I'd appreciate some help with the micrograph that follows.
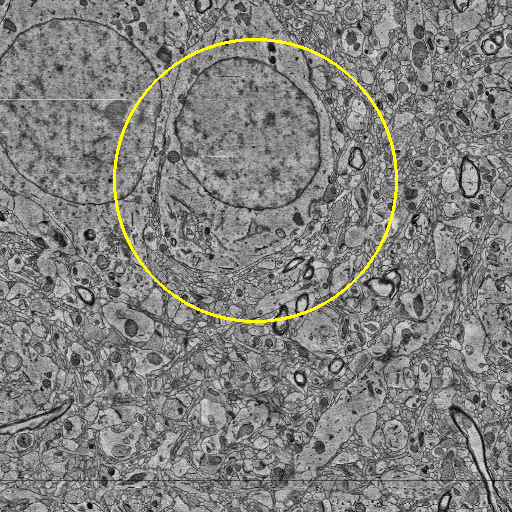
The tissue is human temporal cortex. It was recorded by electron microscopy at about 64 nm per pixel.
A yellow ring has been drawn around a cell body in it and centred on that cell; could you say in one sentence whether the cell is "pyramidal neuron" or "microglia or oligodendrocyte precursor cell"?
It is a pyramidal neuron at the centre of the ring.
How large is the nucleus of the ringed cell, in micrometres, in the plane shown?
In this plane the nucleus is about 10 micrometres across.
